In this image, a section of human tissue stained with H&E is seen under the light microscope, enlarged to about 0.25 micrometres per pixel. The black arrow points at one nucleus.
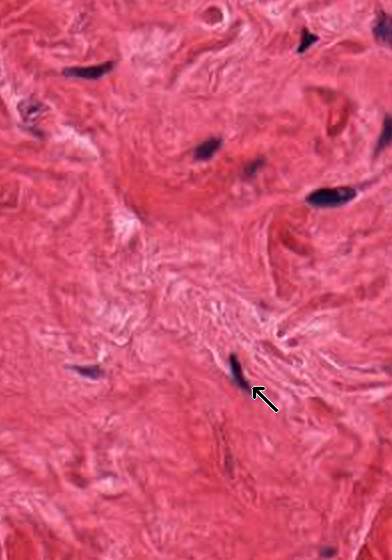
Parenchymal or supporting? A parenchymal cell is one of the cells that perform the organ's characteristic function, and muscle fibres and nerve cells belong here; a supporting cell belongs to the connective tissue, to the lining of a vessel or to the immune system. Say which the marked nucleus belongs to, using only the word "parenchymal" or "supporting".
supporting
